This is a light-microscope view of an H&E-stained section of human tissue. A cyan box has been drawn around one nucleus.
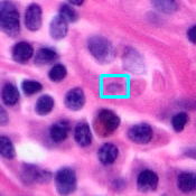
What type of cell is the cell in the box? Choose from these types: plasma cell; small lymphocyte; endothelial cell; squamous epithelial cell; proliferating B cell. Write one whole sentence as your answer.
The identity of the cell in the box: it is an endothelial cell.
